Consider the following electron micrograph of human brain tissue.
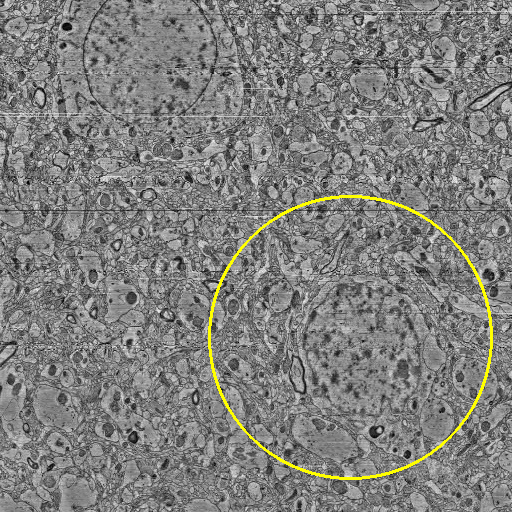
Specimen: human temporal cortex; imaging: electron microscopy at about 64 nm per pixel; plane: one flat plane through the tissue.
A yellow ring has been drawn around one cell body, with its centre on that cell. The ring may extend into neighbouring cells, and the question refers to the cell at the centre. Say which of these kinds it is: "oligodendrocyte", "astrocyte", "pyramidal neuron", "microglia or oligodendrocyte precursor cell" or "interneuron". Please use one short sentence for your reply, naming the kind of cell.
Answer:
The centre of the ring falls on an interneuron.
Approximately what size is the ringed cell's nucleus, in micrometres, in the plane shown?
About 9 micrometres by about 7 micrometres in this plane.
